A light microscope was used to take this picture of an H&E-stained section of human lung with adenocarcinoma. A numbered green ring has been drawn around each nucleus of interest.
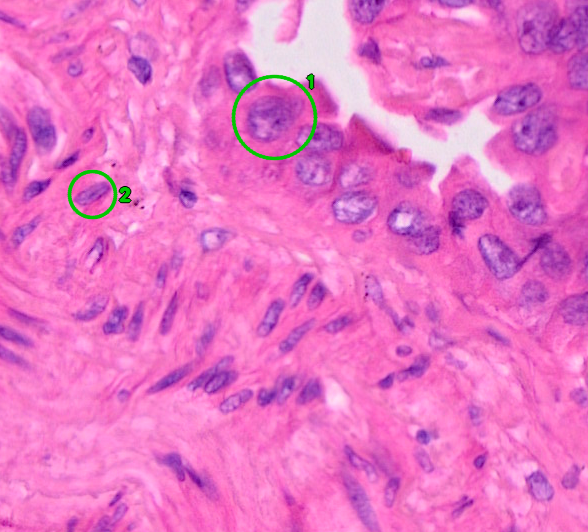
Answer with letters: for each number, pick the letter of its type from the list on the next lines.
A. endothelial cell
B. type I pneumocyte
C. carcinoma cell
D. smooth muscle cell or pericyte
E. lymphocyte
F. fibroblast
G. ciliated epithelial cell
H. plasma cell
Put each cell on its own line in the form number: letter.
1: C
2: D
